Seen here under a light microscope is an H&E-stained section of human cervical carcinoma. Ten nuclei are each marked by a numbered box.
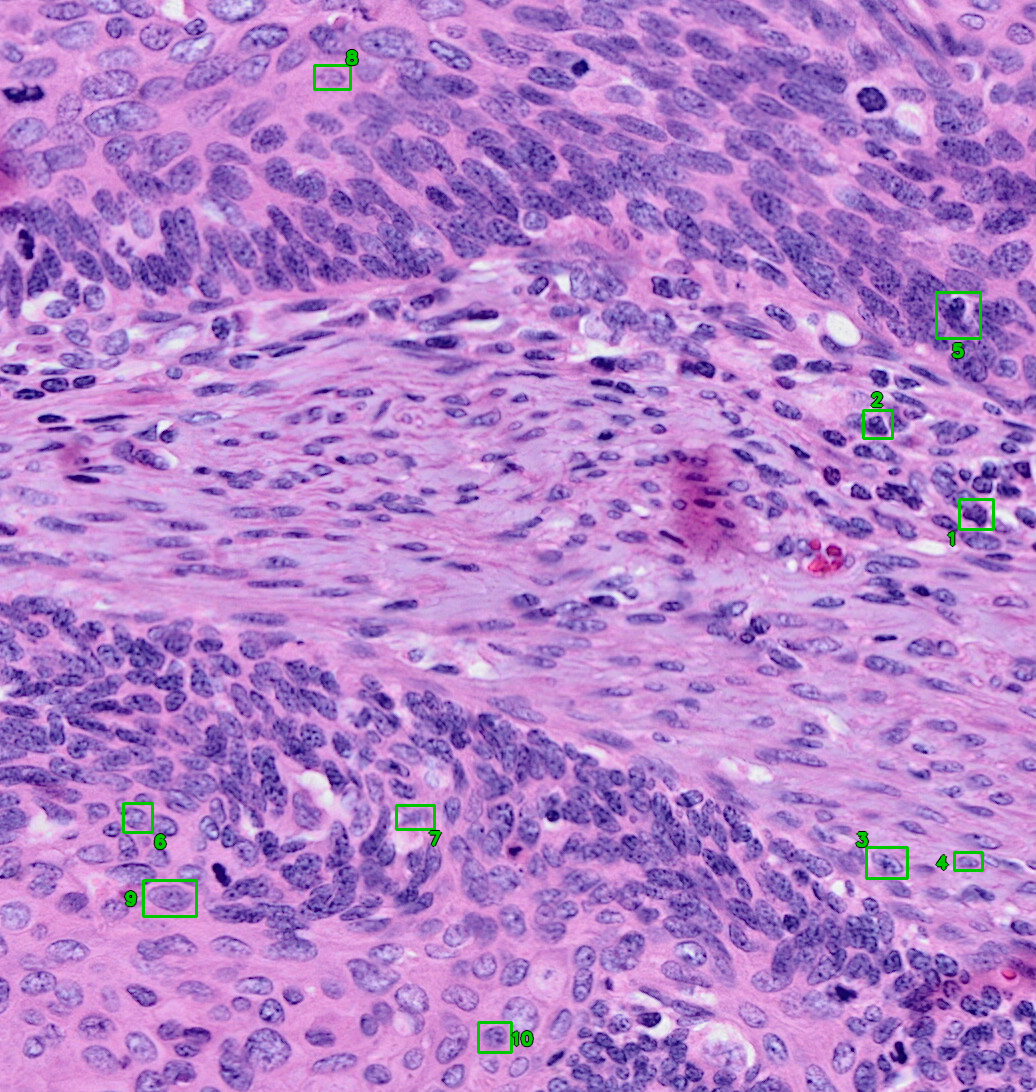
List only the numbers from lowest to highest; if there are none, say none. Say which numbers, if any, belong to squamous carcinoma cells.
5, 6, 7, 8, 9, 10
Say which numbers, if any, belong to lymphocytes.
1, 2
